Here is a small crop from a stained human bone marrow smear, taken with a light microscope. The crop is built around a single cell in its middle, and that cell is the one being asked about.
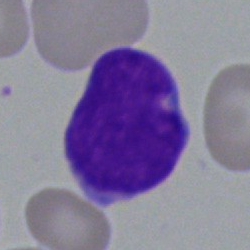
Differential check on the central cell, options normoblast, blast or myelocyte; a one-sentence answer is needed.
The cell at the centre of the field is a blast.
